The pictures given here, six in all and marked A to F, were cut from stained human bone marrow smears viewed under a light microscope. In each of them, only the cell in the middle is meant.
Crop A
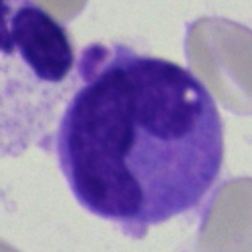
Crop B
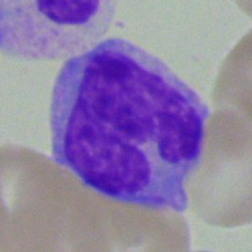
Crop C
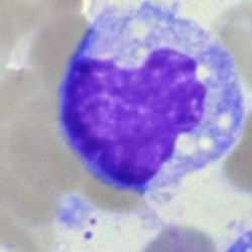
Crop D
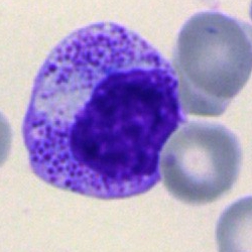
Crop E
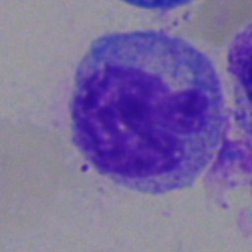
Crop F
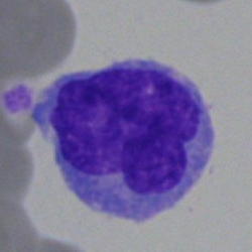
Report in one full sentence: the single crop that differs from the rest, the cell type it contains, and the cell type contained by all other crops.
Crop D is different, showing a myelocyte, whereas all the others show monocytes.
